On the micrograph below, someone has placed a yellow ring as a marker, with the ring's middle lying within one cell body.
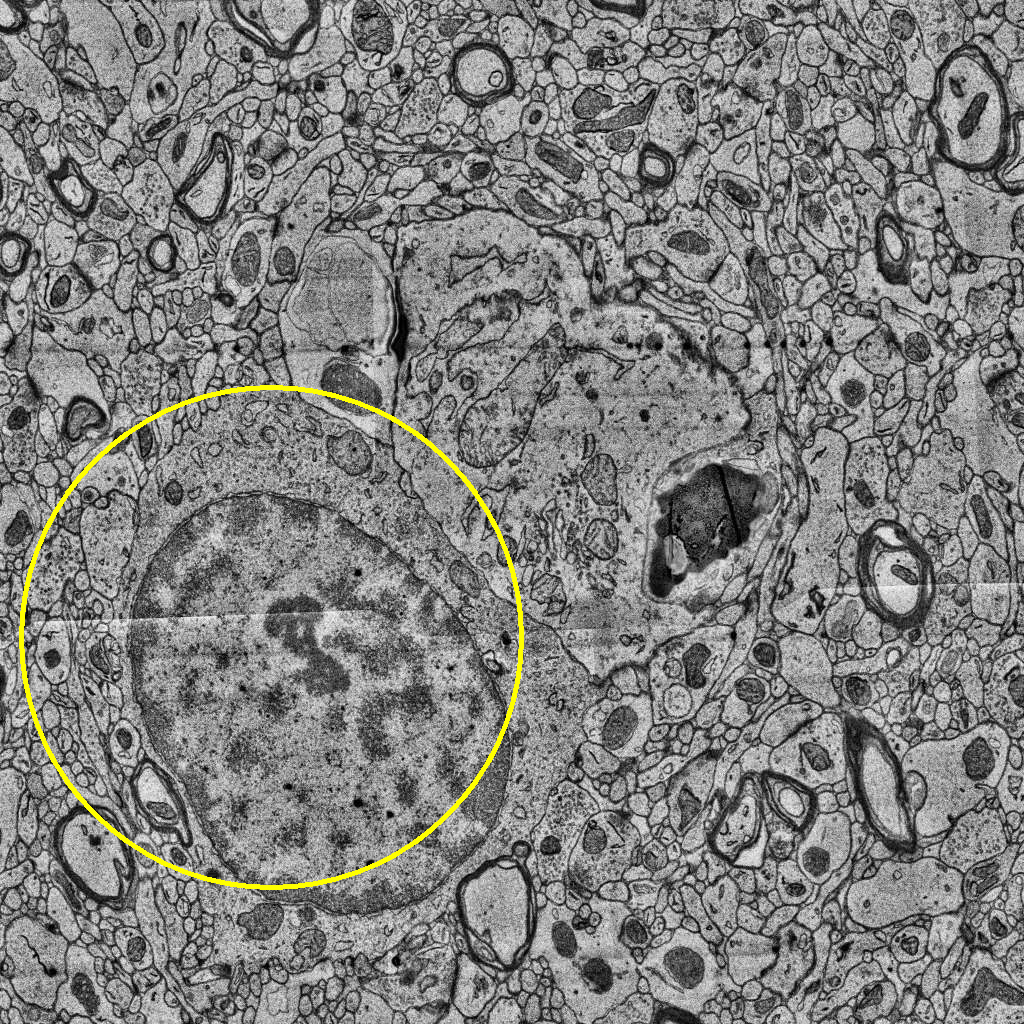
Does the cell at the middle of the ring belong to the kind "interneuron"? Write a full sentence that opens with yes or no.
No, the micrograph shows another kind of cell at the ring's middle.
